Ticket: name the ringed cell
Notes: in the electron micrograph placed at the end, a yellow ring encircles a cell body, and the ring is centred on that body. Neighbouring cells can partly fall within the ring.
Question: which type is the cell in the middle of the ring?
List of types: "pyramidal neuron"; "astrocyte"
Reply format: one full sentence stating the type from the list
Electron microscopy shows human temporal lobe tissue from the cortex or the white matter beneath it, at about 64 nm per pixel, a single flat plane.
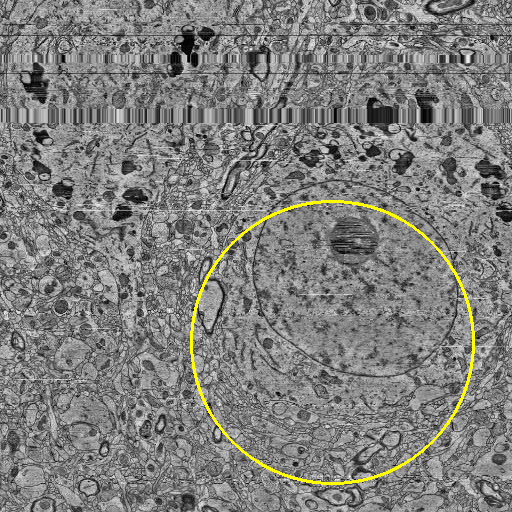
The cell sitting at the centre of the yellow ring is a pyramidal neuron.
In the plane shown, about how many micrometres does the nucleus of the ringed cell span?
The nucleus appears roughly 14 by 12 micrometres in this plane.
